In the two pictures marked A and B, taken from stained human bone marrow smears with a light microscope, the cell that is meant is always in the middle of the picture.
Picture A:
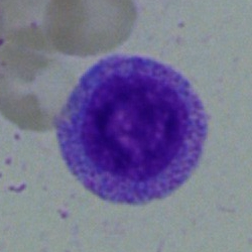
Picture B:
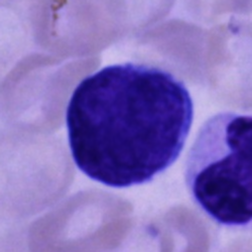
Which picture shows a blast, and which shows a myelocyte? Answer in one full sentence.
Picture A is of a myelocyte, and picture B is of a blast.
